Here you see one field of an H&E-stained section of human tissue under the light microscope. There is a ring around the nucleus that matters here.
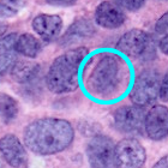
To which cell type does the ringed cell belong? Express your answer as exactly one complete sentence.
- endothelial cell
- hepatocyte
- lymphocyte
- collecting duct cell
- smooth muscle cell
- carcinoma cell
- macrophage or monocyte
As far as its identity is concerned, the ringed cell is a carcinoma cell.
